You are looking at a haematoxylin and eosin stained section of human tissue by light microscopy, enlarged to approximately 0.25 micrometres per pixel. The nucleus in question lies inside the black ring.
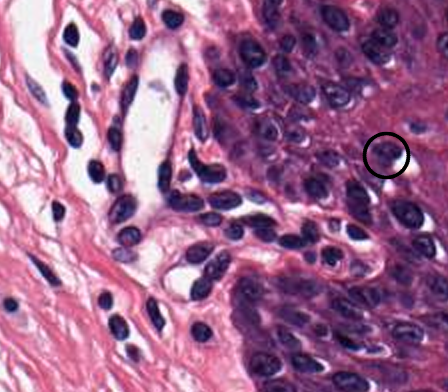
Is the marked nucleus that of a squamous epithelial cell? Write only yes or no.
yes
